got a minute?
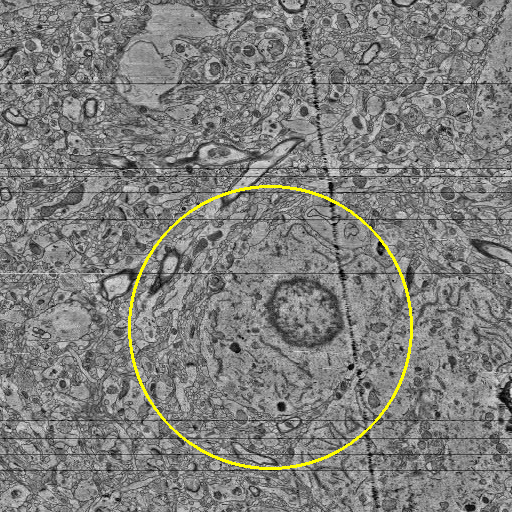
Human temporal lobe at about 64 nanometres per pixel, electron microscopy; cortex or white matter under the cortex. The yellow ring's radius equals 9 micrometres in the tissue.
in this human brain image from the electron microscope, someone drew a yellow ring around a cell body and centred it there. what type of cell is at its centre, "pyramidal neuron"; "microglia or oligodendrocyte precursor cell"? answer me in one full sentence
It's a pyramidal neuron at the middle of that yellow ring in the shot.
